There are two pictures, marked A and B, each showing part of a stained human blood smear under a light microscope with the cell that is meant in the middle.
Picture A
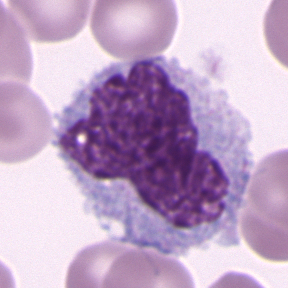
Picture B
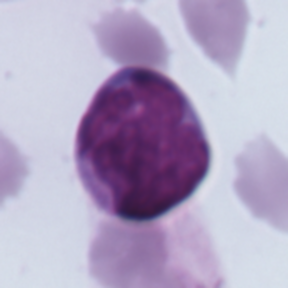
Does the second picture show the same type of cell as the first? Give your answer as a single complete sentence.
No; the cell in picture A is a monocyte, while the one in picture B is a myeloblast.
